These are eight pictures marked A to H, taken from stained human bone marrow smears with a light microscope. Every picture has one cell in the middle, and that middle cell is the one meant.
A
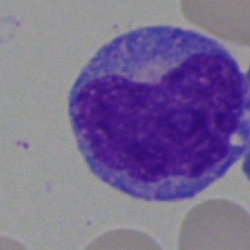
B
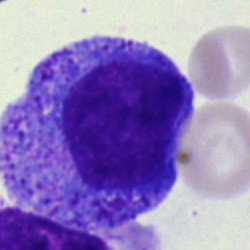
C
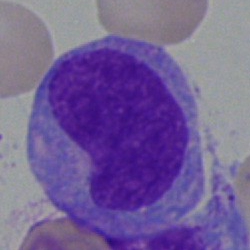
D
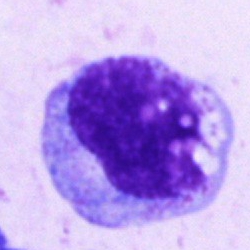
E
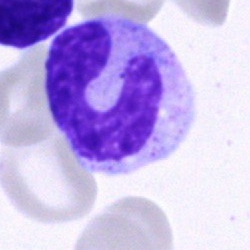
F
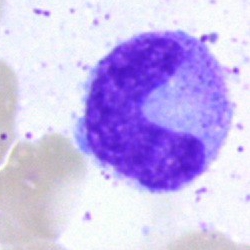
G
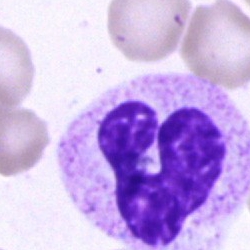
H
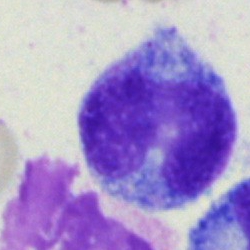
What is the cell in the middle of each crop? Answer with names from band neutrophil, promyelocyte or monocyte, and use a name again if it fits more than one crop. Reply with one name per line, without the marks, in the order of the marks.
monocyte
promyelocyte
monocyte
monocyte
band neutrophil
band neutrophil
band neutrophil
monocyte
